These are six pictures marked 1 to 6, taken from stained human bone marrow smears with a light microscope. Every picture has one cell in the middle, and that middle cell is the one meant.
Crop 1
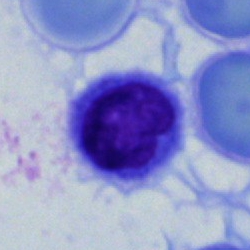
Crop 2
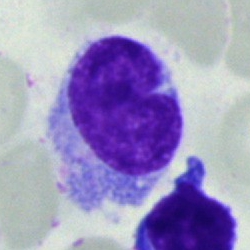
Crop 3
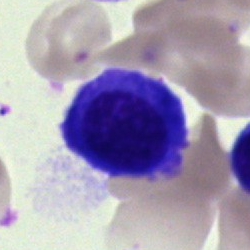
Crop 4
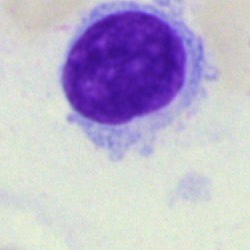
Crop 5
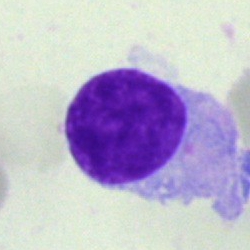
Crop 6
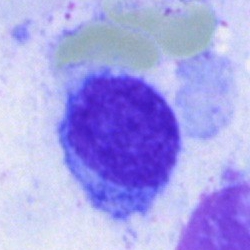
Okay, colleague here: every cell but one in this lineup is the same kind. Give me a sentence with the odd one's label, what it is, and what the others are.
Crop 3 alone shows a plasma cell; the other crops are all hairy cells.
